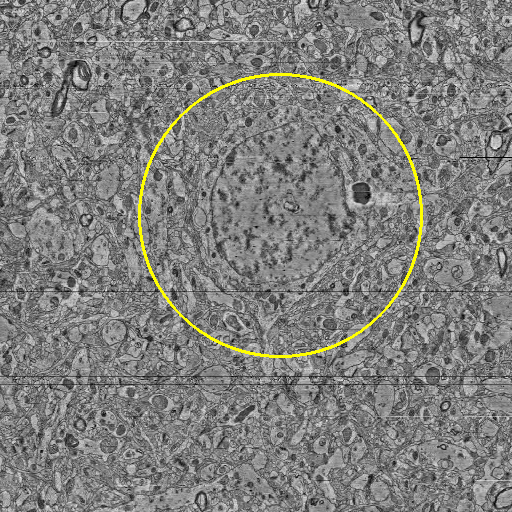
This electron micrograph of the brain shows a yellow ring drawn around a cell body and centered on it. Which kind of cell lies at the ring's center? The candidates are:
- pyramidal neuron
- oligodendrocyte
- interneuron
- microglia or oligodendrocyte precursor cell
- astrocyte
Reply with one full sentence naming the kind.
The cell lying at the ring's center in this micrograph is an interneuron.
